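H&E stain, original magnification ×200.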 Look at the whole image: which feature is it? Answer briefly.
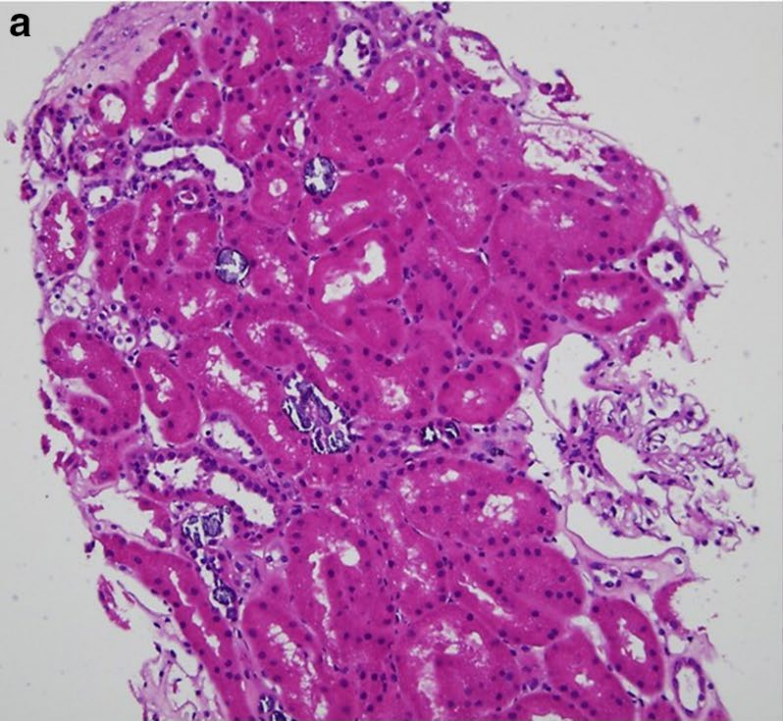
Intratubular calcium crystals.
